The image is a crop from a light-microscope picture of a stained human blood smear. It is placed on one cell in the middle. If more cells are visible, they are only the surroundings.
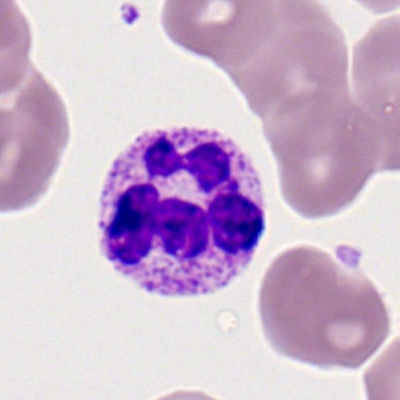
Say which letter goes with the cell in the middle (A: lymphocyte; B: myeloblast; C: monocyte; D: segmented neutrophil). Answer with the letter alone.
D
